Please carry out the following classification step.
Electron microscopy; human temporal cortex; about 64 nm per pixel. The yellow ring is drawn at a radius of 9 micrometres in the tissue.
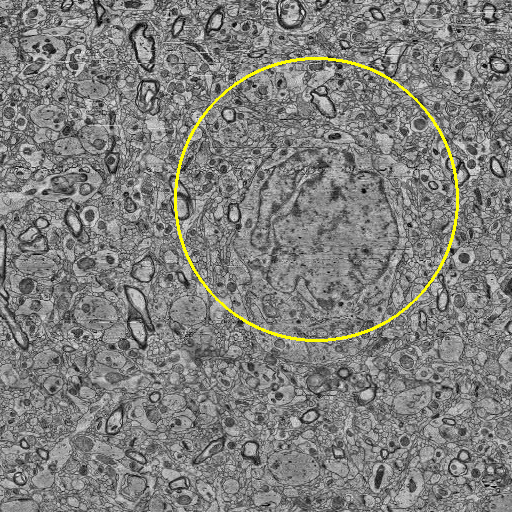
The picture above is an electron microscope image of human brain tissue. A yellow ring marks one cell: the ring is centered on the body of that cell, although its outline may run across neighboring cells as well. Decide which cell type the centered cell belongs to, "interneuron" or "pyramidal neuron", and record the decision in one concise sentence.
The cell centered in the yellow ring is an interneuron.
